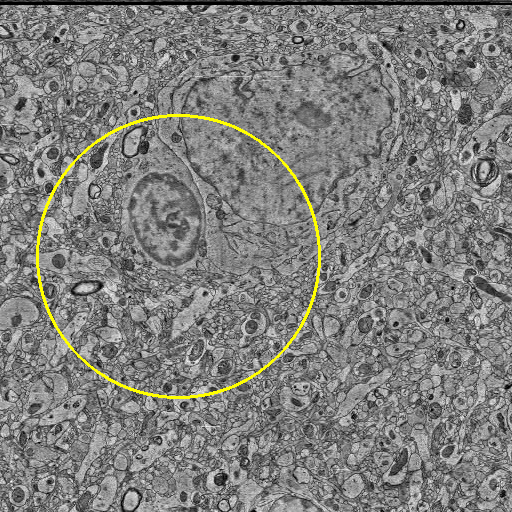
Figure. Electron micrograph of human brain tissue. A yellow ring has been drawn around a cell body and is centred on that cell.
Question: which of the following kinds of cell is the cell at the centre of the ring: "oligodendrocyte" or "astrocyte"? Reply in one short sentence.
The cell at the centre of the ring is an oligodendrocyte.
